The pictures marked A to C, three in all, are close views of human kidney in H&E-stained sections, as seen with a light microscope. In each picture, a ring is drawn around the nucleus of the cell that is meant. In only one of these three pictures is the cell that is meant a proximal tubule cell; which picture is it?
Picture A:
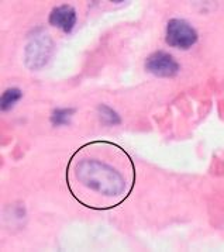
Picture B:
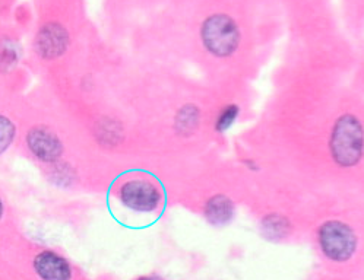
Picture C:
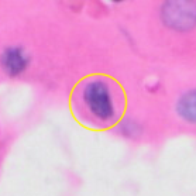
A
